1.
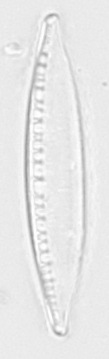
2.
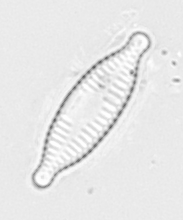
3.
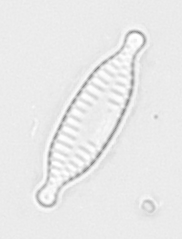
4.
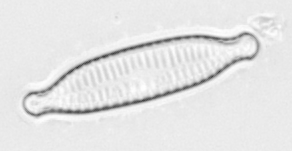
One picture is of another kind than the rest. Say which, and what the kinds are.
Picture 1 shows Nitzschia; the rest show Fragilaria.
